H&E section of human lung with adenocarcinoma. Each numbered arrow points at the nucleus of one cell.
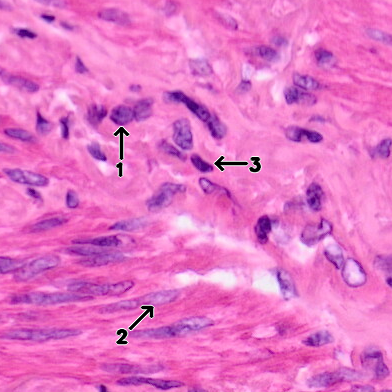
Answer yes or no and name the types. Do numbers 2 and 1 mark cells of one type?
No; cell 2 is a smooth muscle cell or pericyte, and cell 1 is a mast cell.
